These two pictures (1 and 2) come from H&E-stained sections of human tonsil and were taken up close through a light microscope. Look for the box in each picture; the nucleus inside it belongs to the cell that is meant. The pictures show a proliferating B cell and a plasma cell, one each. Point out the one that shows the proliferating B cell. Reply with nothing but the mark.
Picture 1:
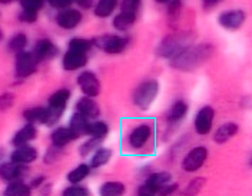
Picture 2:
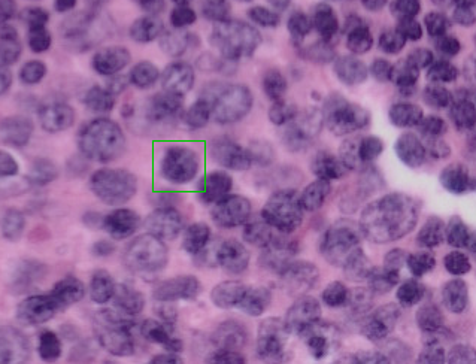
2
